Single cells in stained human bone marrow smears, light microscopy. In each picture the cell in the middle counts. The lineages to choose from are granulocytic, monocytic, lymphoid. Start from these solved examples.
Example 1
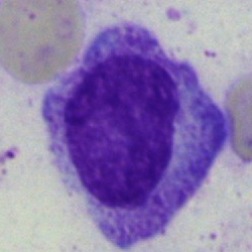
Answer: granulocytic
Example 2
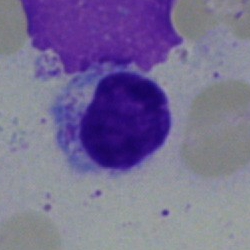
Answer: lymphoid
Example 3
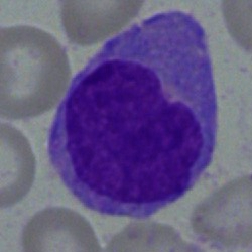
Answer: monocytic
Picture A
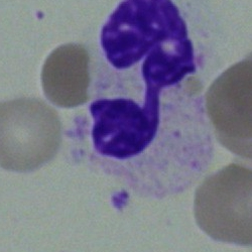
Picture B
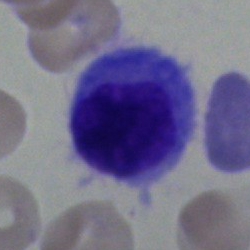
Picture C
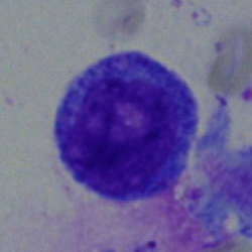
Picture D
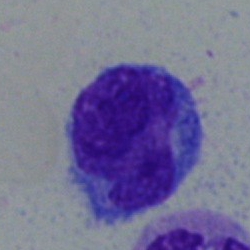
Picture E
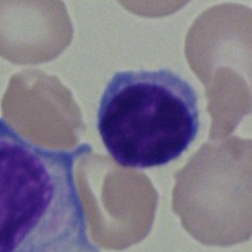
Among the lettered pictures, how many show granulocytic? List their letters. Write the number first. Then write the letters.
2, namely A, C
